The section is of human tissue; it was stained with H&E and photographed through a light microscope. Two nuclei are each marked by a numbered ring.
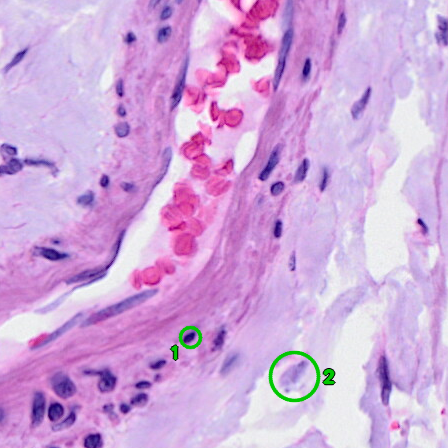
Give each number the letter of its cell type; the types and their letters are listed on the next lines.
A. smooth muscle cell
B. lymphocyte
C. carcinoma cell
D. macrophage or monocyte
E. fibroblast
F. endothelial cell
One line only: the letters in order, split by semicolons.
A; E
